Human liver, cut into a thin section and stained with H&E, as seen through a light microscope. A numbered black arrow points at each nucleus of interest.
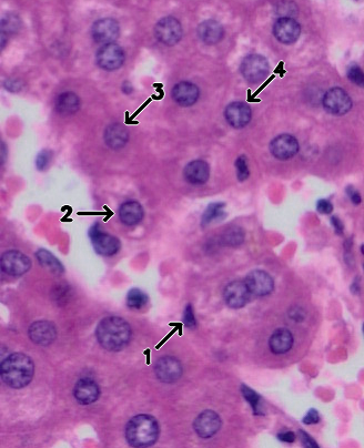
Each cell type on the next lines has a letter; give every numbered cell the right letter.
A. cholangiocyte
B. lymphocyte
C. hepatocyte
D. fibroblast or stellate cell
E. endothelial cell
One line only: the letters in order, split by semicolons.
D; C; C; C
